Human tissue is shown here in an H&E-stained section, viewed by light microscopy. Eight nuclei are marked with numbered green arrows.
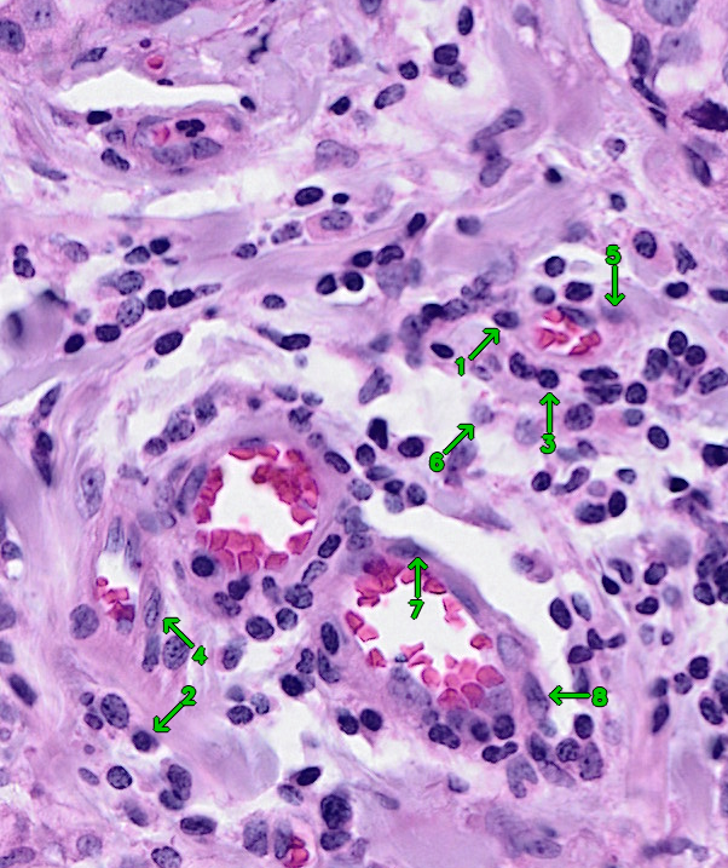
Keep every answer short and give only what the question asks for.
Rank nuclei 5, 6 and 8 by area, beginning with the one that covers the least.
5, 6, 8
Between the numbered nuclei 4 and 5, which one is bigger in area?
4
